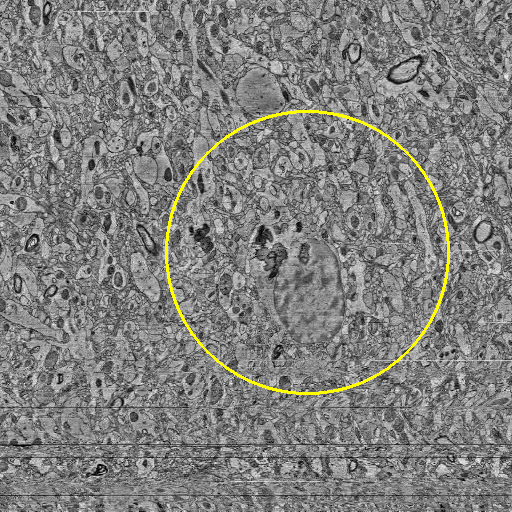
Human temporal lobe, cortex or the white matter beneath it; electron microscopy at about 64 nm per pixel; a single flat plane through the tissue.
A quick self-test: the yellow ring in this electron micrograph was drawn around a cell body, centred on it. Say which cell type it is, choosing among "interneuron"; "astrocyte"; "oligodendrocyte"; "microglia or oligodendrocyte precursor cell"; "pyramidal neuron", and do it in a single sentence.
The yellow-ringed cell is an oligodendrocyte.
